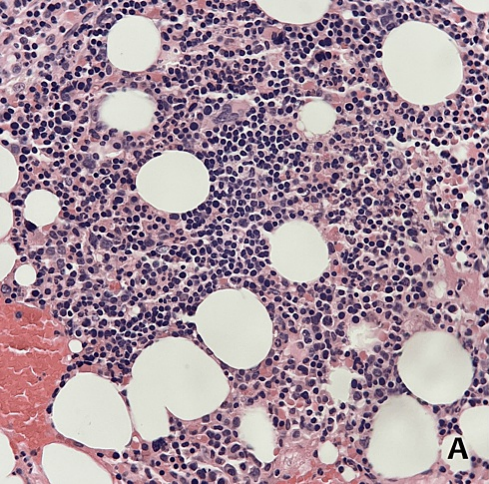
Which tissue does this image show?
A: Bone marrow.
